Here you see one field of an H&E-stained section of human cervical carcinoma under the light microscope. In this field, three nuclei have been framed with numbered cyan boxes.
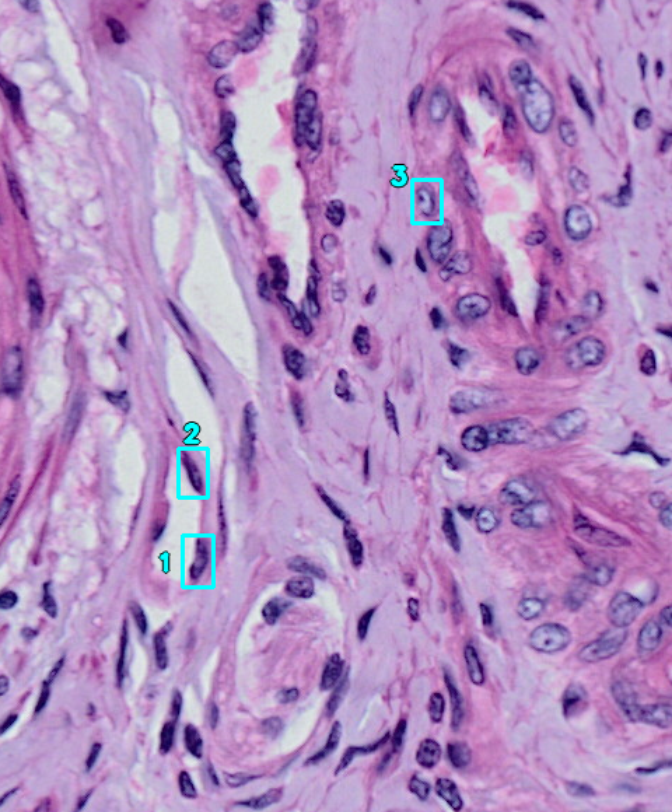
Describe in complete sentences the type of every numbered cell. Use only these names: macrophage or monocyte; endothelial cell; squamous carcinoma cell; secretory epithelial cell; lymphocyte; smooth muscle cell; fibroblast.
Cells 1 and 2 are endothelial cells. Cell 3 is a smooth muscle cell.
